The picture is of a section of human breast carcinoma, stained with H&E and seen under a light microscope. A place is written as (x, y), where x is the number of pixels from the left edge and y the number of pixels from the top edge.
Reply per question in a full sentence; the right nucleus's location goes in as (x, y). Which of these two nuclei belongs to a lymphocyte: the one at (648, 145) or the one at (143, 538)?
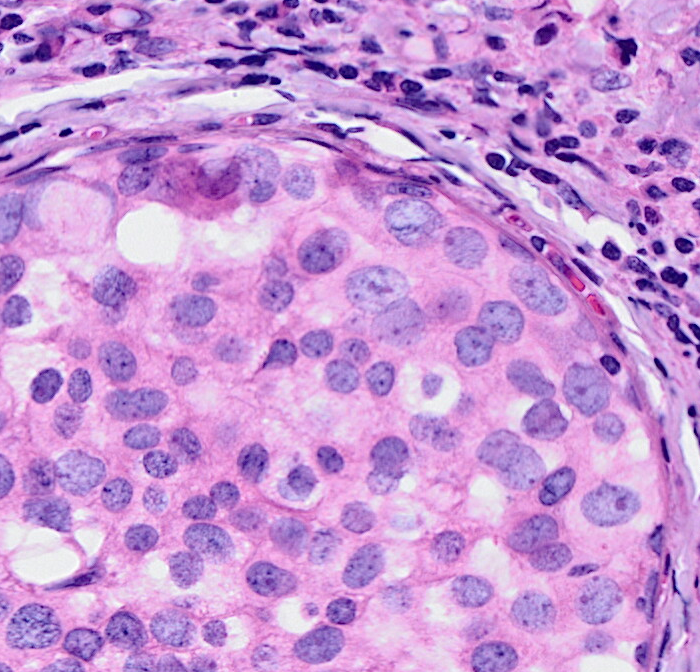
Among the two nuclei, the one lying at (648, 145) is part of a lymphocyte.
